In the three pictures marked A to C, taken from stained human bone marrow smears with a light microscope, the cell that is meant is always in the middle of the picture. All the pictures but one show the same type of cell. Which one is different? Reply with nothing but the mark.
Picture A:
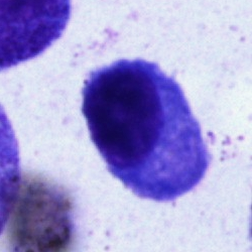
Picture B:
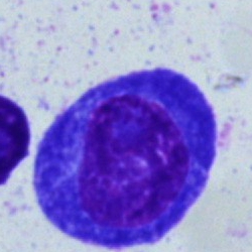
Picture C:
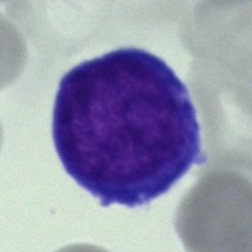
C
